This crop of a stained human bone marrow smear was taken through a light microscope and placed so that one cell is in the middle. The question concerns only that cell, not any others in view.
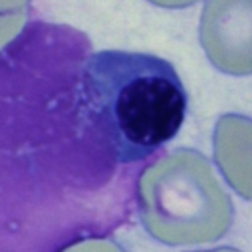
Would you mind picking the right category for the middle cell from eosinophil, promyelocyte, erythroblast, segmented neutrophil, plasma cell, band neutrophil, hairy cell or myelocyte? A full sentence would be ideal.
To answer, the cell in the center of the crop is an erythroblast.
